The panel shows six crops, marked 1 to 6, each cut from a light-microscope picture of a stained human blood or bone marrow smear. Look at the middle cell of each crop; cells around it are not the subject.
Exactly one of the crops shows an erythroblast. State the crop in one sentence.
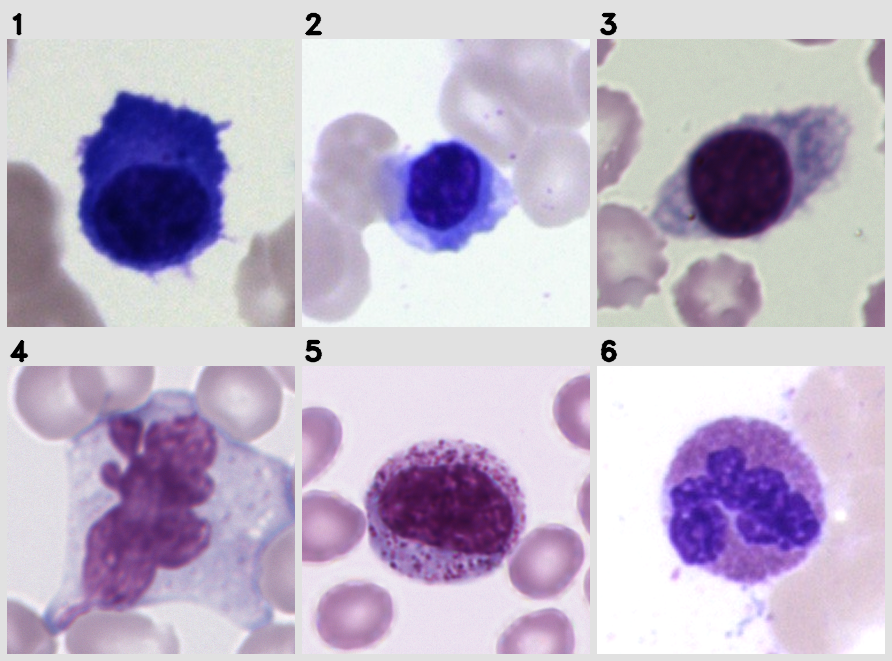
Of these crops, it is crop 2 that shows an erythroblast.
